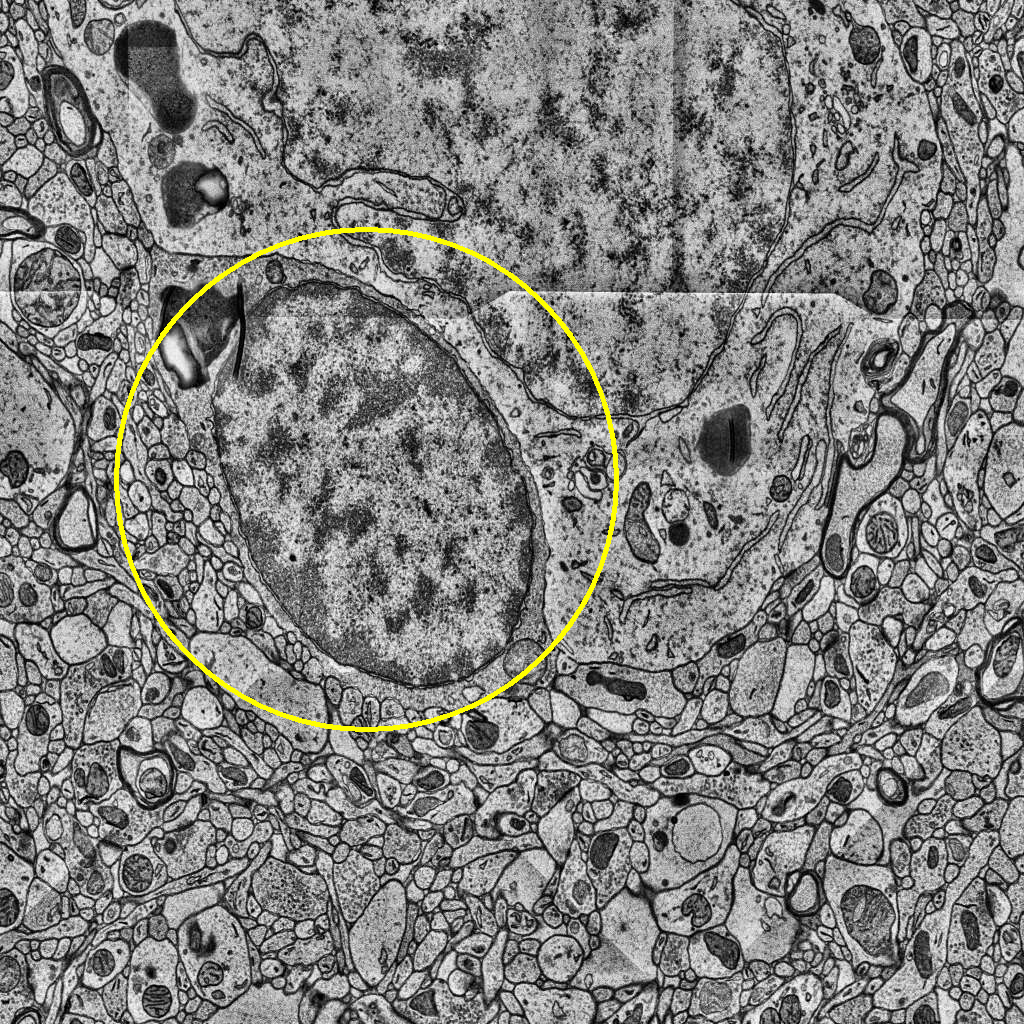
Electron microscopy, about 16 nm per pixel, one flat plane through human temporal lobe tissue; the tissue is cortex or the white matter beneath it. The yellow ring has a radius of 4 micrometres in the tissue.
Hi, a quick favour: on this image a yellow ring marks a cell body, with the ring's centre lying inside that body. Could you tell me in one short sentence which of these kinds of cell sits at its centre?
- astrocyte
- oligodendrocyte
The ring's centre lies in an oligodendrocyte.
